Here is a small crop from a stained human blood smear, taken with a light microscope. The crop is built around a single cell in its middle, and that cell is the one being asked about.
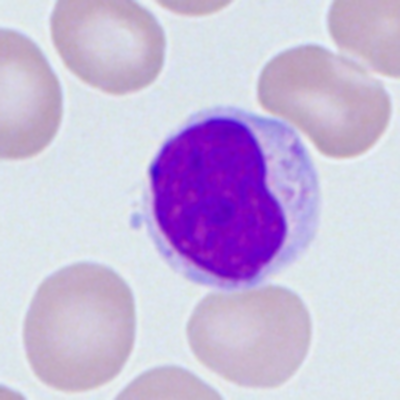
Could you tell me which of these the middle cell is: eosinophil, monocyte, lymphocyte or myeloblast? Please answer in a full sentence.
The middle position in this crop is taken by a lymphocyte.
